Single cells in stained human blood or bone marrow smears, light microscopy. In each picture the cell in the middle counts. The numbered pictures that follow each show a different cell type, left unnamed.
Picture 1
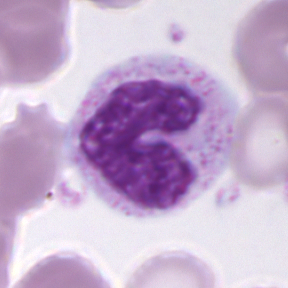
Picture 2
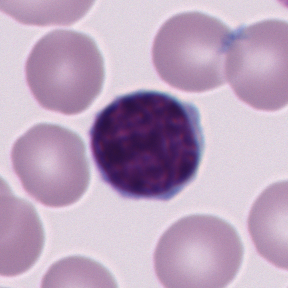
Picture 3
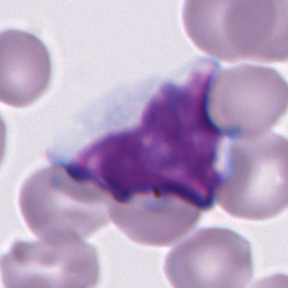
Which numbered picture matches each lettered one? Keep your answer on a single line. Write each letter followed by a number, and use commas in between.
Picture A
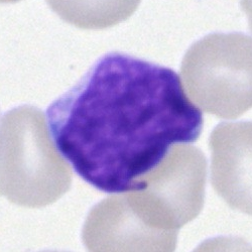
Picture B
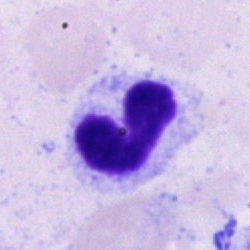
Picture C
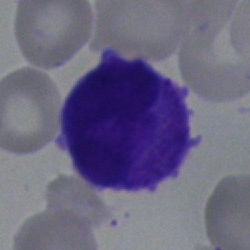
A 3, B 1, C 3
